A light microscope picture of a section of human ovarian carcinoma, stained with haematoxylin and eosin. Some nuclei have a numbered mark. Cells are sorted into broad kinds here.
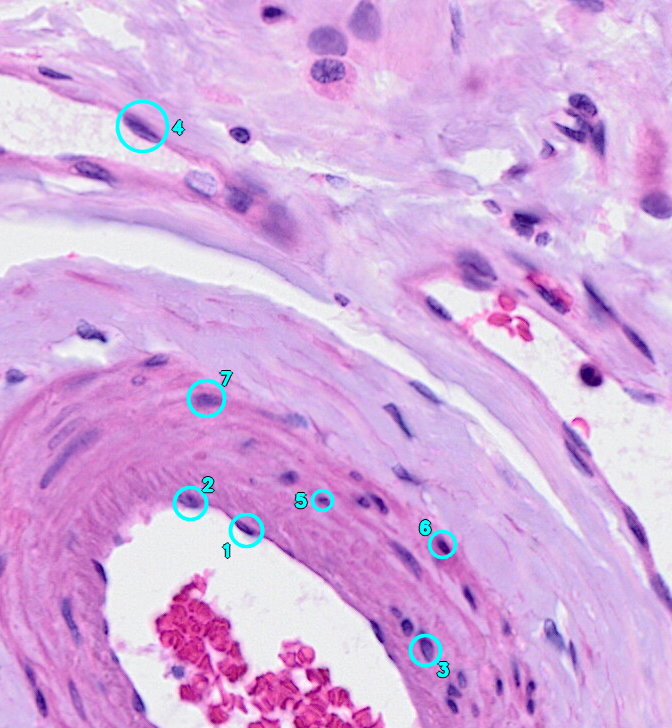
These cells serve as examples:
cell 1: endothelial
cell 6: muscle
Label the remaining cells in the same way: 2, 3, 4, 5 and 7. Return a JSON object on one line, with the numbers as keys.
{"2": "endothelial", "3": "muscle", "4": "endothelial", "5": "muscle", "7": "muscle"}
